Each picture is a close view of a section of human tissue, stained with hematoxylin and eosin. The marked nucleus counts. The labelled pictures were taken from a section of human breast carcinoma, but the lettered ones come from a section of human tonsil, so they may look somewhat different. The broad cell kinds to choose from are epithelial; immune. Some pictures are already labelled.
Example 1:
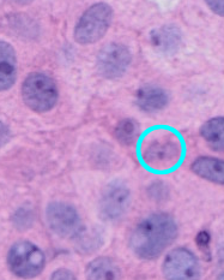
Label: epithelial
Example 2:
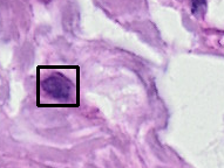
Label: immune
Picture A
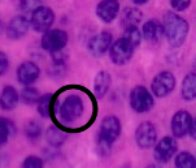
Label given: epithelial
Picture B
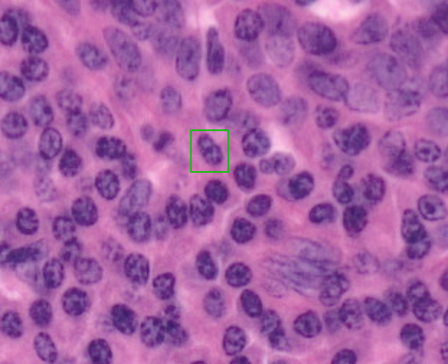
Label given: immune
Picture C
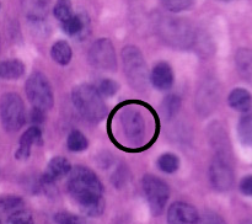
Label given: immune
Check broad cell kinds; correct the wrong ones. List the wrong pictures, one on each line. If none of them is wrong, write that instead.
A is labelled epithelial; correct label: immune
C is labelled immune; correct label: epithelial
